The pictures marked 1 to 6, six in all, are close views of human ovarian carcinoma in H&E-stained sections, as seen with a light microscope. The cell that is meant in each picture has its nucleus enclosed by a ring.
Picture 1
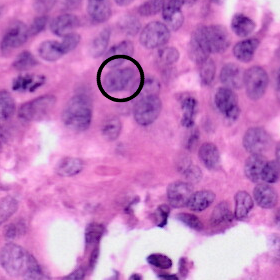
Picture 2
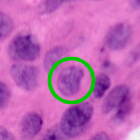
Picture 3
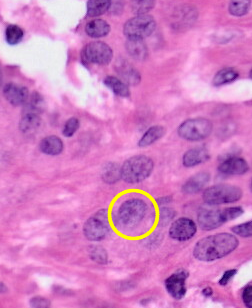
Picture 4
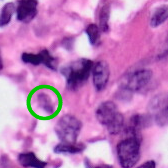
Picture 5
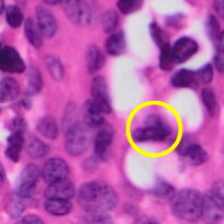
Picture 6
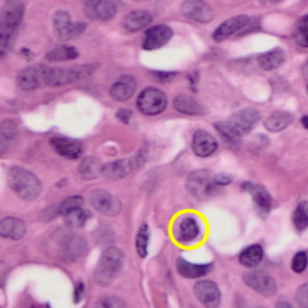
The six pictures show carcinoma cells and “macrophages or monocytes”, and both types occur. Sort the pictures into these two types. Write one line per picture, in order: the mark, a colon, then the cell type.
1: carcinoma cell
2: carcinoma cell
3: carcinoma cell
4: macrophage or monocyte
5: carcinoma cell
6: macrophage or monocyte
